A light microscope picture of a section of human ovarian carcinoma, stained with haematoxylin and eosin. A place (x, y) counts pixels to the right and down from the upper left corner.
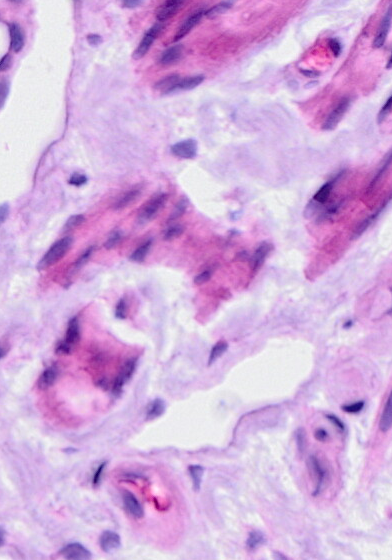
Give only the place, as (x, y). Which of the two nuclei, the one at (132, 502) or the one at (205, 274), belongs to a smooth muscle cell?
(205, 274)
